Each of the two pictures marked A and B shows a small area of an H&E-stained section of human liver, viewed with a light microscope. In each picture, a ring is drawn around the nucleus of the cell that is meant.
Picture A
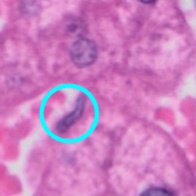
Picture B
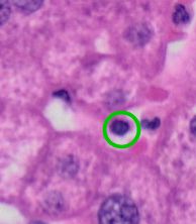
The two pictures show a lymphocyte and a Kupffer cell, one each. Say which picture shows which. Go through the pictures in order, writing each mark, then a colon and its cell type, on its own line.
A: Kupffer cell
B: lymphocyte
